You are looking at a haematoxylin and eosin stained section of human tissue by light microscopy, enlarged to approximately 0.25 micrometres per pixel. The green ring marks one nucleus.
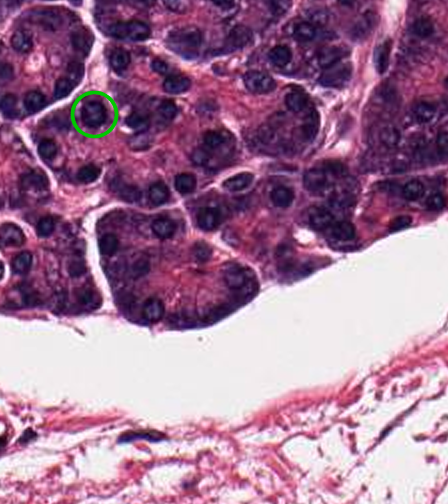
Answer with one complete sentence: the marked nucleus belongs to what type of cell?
In this section, the marked nucleus is that of a pancreatic acinar cell.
